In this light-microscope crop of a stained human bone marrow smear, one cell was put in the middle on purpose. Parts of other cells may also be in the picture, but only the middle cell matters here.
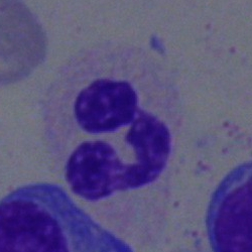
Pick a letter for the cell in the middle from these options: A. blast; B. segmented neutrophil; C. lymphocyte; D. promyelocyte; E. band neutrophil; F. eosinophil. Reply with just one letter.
B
